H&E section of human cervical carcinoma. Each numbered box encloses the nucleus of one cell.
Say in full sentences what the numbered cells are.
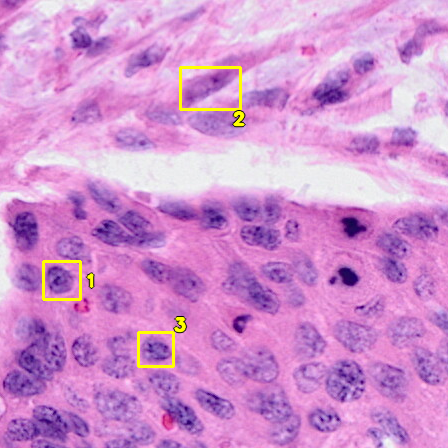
Cell 1 is a squamous carcinoma cell, cell 2 is a fibroblast and cell 3 is a squamous carcinoma cell.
